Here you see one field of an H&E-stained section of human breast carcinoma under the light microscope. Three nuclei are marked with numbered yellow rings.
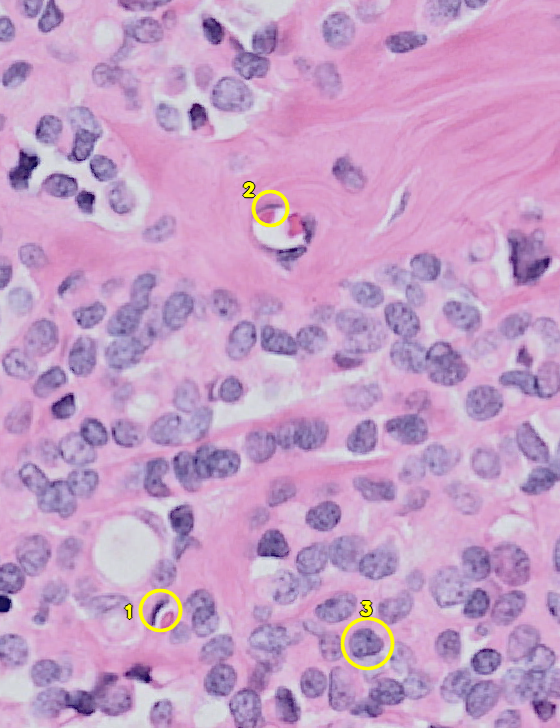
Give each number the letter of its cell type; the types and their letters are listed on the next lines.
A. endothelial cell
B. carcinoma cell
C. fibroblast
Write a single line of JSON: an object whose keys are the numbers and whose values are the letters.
{"1": "A", "2": "A", "3": "B"}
